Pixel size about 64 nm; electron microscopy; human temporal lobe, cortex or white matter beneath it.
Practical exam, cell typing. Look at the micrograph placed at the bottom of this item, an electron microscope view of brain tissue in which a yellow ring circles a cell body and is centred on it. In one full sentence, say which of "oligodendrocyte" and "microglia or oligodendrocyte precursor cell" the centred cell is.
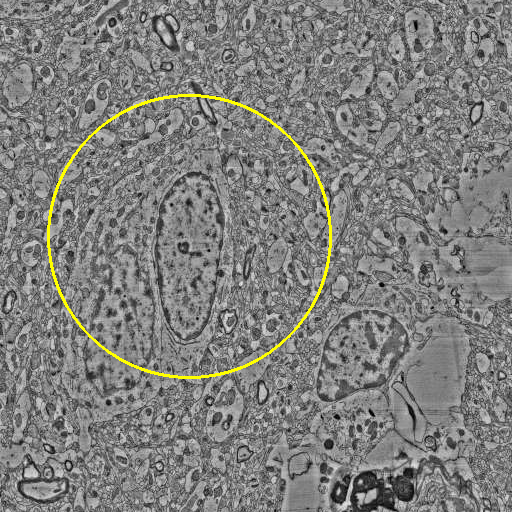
Given the options, a microglial cell or oligodendrocyte precursor cell fits the cell whose body the yellow ring is centred on.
